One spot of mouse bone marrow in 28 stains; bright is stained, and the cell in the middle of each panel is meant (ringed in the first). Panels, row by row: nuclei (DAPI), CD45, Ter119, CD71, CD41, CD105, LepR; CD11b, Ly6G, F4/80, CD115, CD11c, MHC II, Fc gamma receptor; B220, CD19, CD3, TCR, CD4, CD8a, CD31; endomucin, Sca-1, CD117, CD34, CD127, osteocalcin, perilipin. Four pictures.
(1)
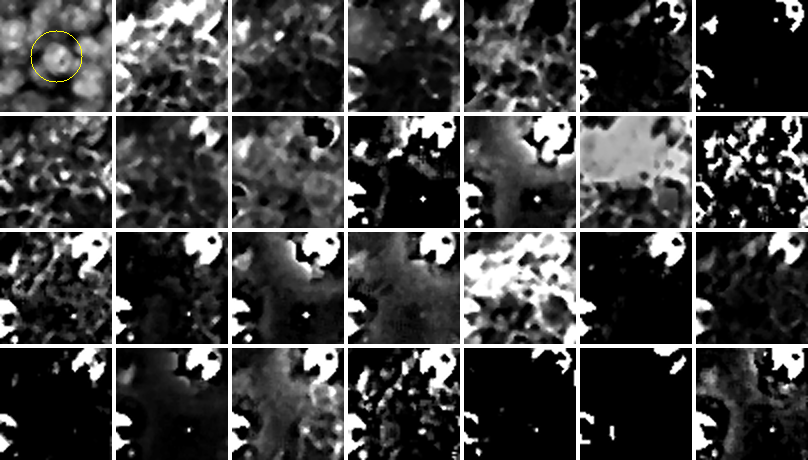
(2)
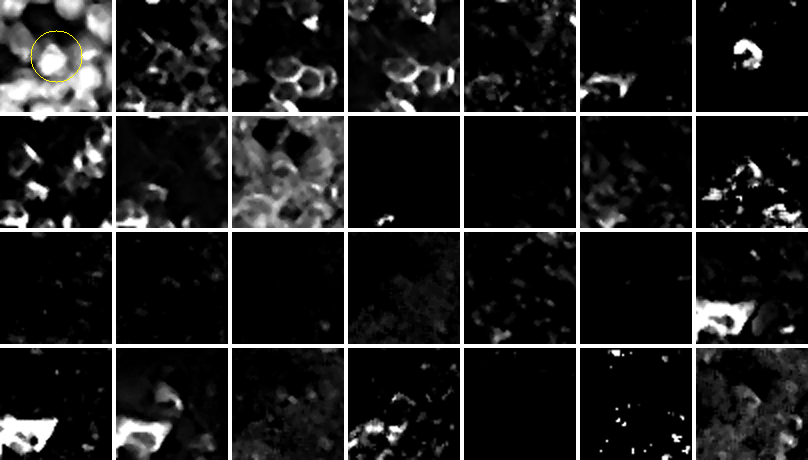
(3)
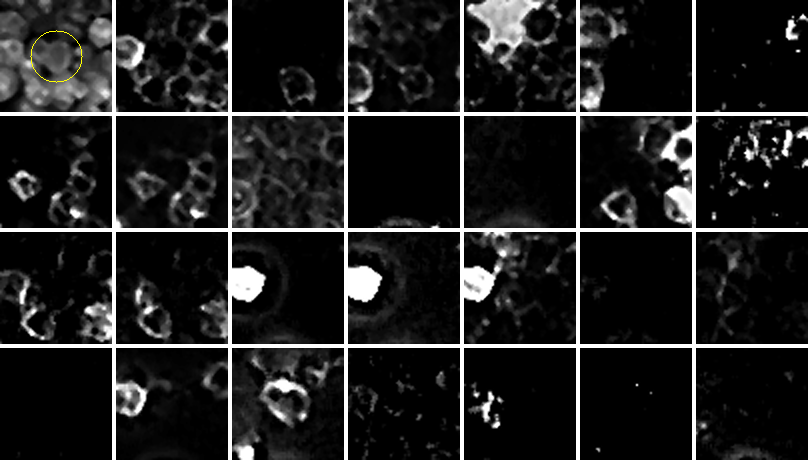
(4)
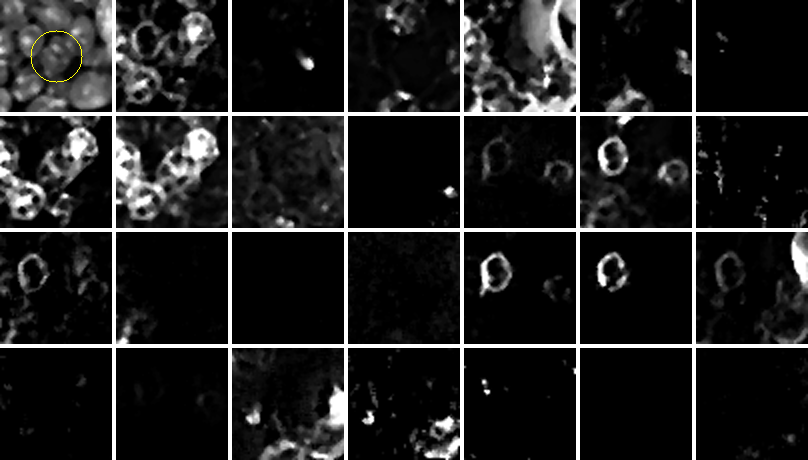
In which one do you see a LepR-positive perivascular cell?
In picture 2.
